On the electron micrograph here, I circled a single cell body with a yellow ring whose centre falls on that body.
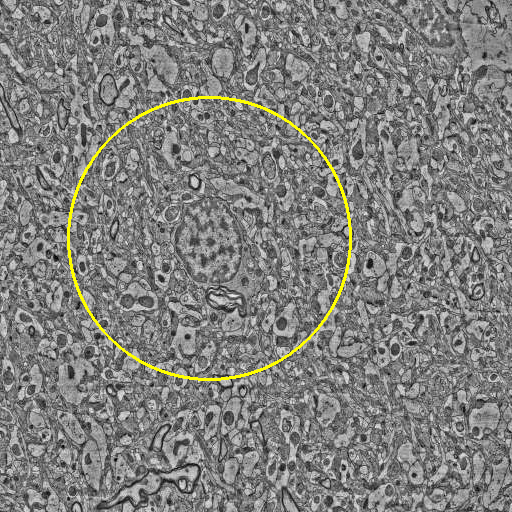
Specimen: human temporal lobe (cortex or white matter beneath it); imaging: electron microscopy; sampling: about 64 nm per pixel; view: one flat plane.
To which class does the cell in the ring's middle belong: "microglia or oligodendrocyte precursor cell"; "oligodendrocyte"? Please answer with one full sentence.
In this picture, the cell body circled at the ring's centre belongs to an oligodendrocyte.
